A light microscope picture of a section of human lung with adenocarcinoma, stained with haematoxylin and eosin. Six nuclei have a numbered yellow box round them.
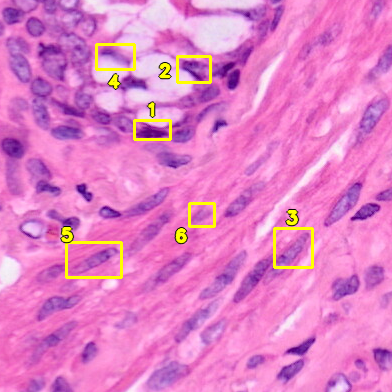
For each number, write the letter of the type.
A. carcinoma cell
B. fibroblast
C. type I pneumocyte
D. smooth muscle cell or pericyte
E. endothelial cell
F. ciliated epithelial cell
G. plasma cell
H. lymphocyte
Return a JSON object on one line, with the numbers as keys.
{"1": "F", "2": "F", "3": "D", "4": "F", "5": "D", "6": "D"}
